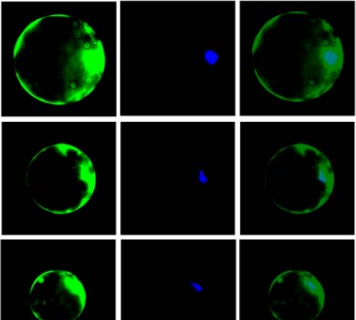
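Three rows of round, wall-less plant cells (protoplasts), each shown in green, blue and merged views. The green fluorescence lies in a thin rim around the cell margin and in thicker crescent-shaped patches on one side, leaving a large dark central region, as expected of a cytoplasm pressed against the membrane by a large central vacuole. In the merged images the nucleus sits within the green cytoplasmic layer and is not more brightly green than its surroundings.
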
